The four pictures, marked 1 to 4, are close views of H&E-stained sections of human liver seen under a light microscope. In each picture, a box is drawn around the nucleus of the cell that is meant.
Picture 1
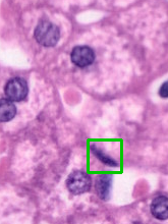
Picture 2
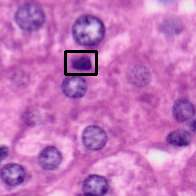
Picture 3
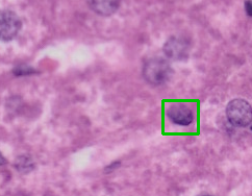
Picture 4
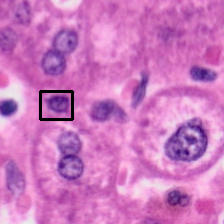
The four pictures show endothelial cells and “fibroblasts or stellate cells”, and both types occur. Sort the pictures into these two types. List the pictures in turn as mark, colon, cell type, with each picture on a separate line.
1: fibroblast or stellate cell
2: fibroblast or stellate cell
3: endothelial cell
4: fibroblast or stellate cell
